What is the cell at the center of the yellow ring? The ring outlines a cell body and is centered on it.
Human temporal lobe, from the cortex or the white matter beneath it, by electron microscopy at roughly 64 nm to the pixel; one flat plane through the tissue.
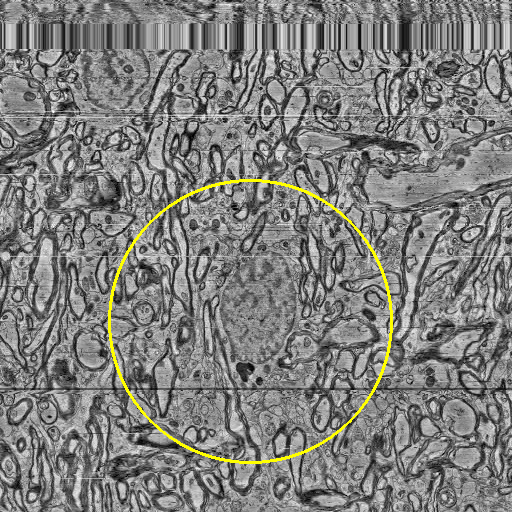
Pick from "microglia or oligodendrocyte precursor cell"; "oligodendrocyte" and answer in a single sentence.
The yellow ring is centered on an oligodendrocyte.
